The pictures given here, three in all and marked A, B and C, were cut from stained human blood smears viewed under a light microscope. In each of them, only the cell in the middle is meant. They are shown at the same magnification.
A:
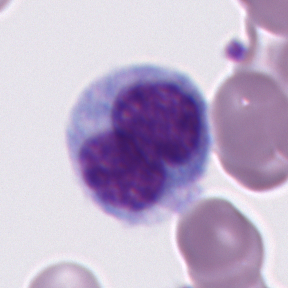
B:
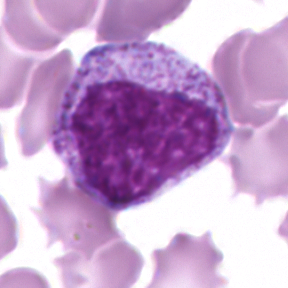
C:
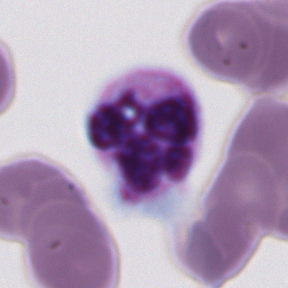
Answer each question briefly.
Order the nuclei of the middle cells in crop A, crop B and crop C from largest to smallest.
B, A, C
